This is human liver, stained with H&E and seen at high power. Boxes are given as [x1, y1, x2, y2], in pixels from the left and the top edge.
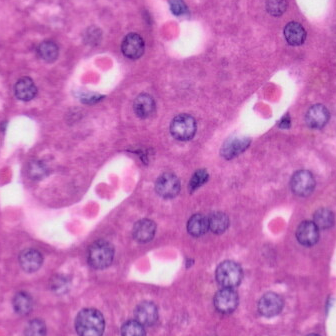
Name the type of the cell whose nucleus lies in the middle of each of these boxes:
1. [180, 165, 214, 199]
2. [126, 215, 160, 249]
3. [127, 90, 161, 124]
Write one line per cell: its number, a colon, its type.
1: fibroblast or stellate cell
2: hepatocyte
3: hepatocyte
